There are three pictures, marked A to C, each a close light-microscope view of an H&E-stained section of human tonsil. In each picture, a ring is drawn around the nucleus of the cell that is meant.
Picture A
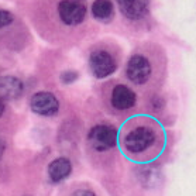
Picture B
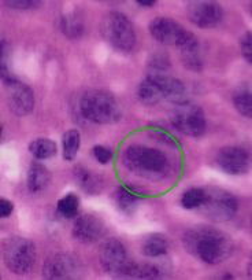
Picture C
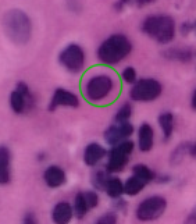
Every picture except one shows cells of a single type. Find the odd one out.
A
